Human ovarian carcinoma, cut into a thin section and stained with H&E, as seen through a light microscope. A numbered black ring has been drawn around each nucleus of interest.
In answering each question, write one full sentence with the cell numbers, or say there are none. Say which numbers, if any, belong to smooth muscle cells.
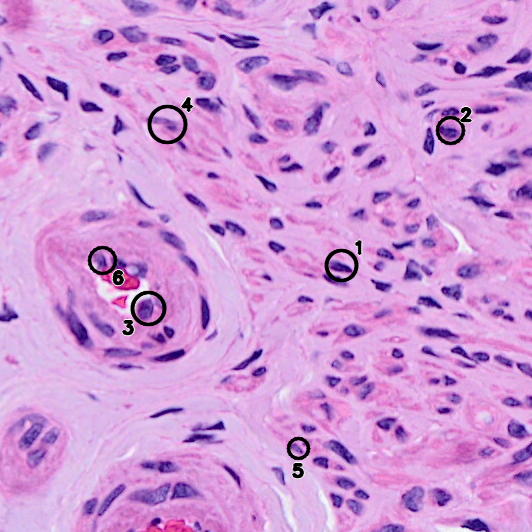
Cells 1, 2, 4 and 5 are classified as smooth muscle cells.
